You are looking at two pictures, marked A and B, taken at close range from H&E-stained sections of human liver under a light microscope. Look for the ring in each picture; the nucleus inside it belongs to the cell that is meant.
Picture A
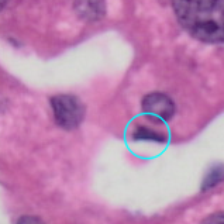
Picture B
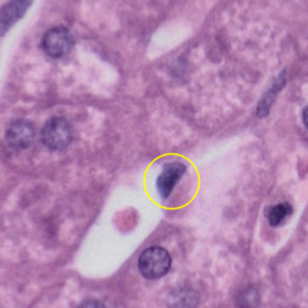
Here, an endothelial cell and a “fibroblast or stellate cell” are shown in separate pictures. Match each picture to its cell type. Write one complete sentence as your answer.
The cell in picture A is a “fibroblast or stellate cell”, and the one in picture B is an endothelial cell.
